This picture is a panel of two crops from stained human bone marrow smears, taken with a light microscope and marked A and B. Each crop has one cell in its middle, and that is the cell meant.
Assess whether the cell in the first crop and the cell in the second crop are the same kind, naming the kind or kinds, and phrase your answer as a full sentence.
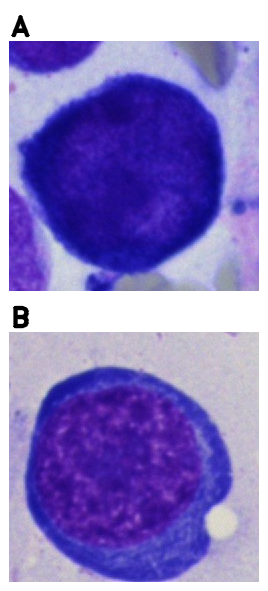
Yes, the two central cells, one per crop, are proerythroblasts.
